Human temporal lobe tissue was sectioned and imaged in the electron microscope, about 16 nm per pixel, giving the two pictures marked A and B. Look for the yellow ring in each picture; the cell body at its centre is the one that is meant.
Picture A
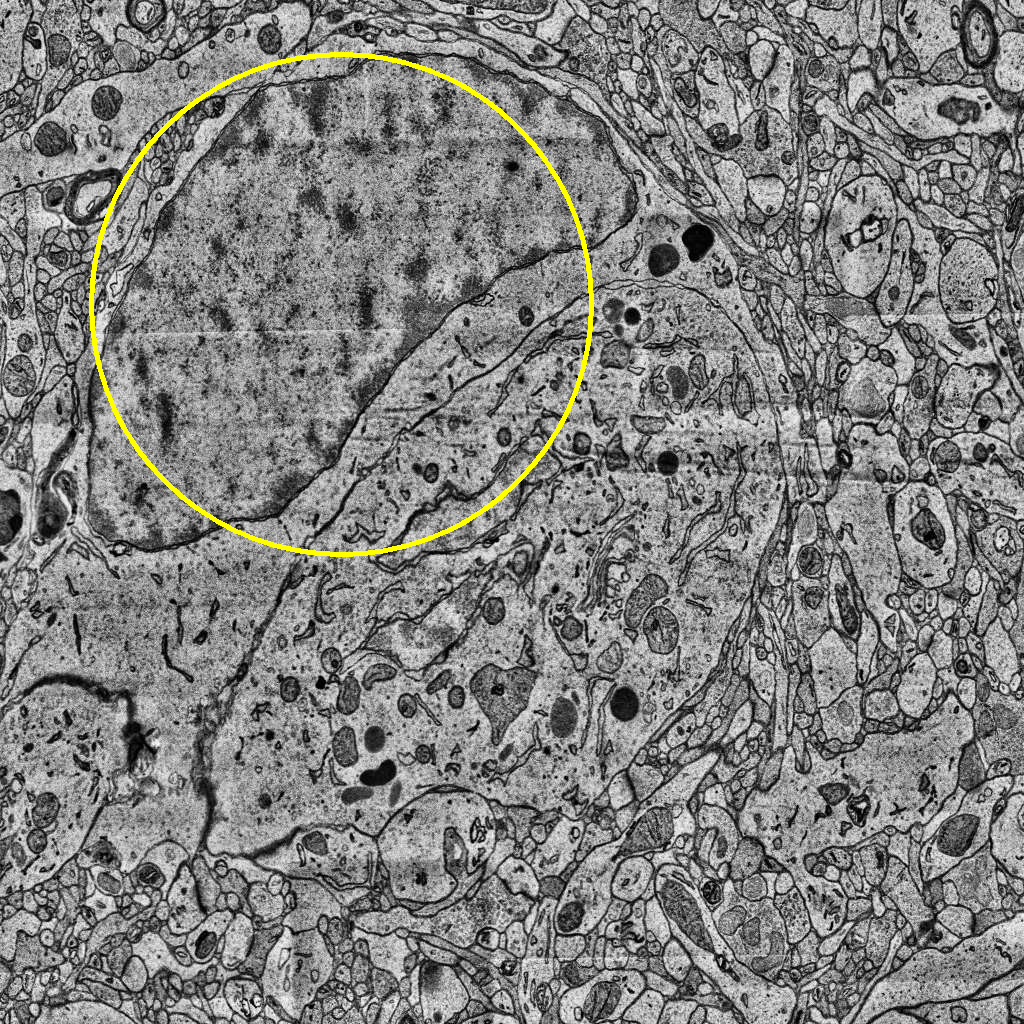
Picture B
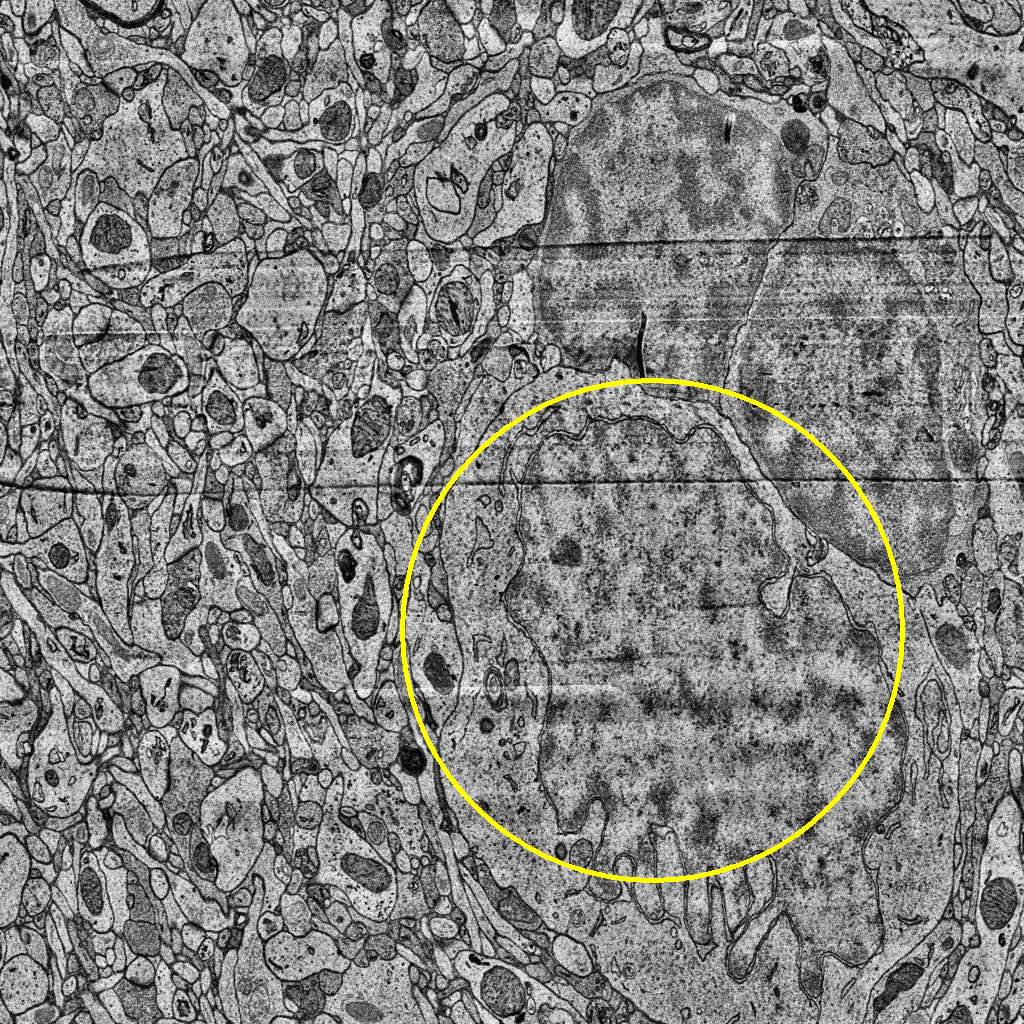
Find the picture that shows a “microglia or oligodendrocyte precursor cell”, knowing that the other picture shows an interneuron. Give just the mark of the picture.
A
